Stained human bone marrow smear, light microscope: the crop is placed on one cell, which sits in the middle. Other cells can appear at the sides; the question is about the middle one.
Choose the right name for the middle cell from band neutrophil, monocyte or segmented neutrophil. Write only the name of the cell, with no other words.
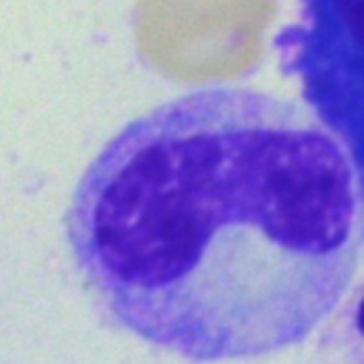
band neutrophil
